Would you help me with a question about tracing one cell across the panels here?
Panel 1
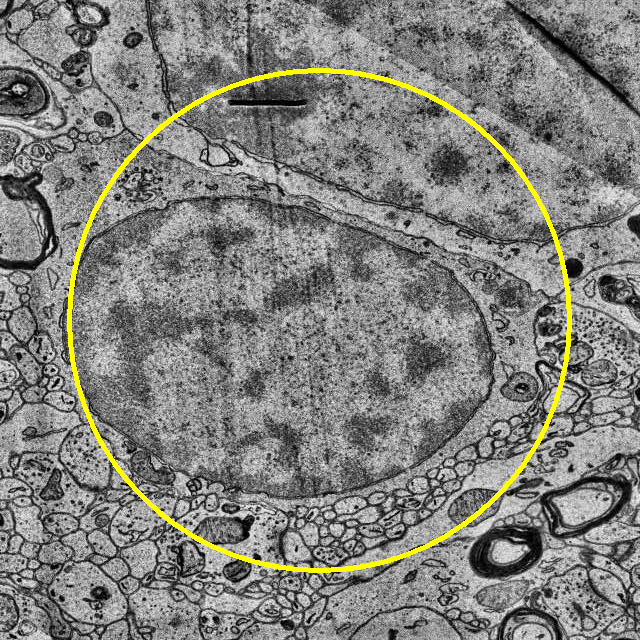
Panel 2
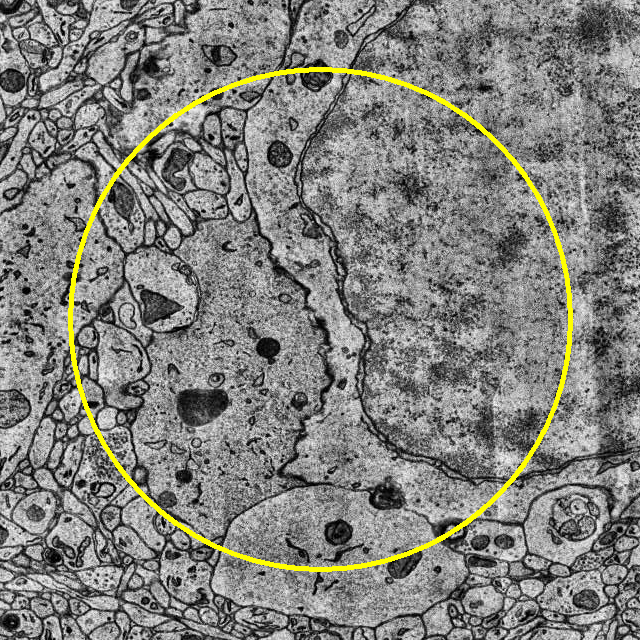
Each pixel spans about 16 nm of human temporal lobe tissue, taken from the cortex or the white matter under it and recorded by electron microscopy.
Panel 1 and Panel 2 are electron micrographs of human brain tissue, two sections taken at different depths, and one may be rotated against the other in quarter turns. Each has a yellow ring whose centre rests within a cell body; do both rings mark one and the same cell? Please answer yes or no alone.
no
